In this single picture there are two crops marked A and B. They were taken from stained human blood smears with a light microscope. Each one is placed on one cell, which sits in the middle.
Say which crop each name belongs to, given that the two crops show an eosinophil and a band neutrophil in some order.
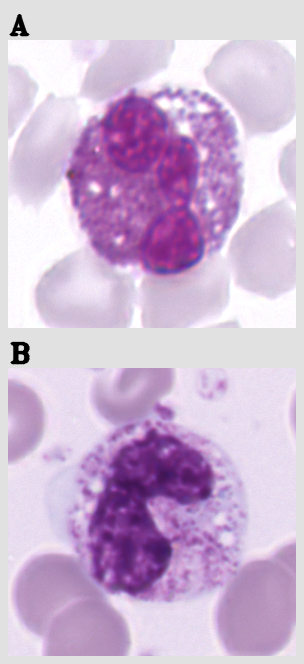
A: eosinophil
B: band neutrophil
